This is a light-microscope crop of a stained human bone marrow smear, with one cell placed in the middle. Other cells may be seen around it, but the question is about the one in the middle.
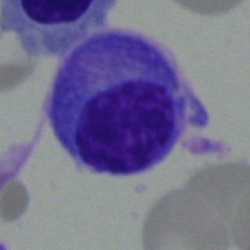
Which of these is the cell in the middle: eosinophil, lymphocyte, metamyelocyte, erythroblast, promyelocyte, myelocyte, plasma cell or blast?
plasma cell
